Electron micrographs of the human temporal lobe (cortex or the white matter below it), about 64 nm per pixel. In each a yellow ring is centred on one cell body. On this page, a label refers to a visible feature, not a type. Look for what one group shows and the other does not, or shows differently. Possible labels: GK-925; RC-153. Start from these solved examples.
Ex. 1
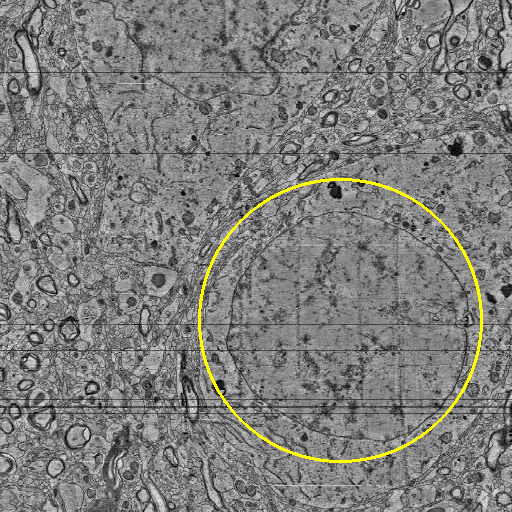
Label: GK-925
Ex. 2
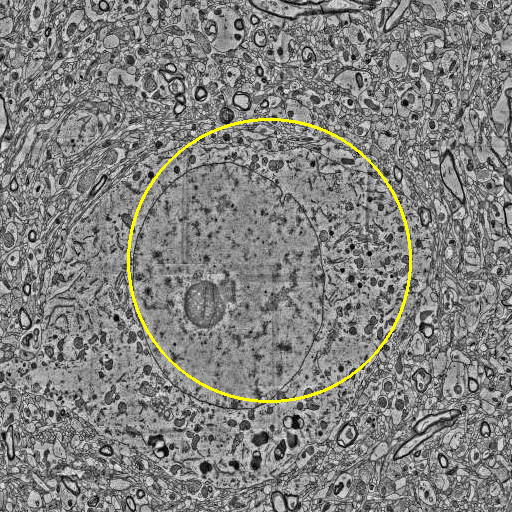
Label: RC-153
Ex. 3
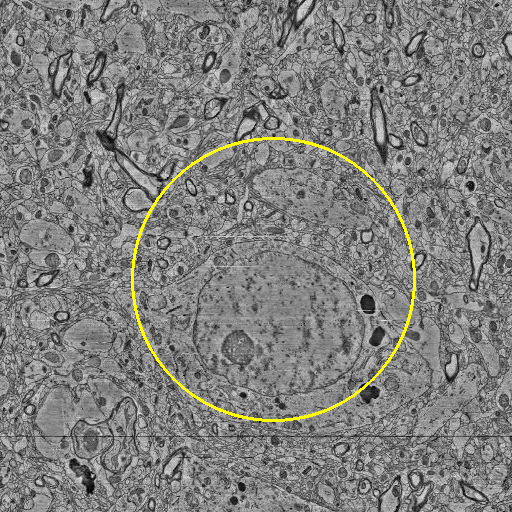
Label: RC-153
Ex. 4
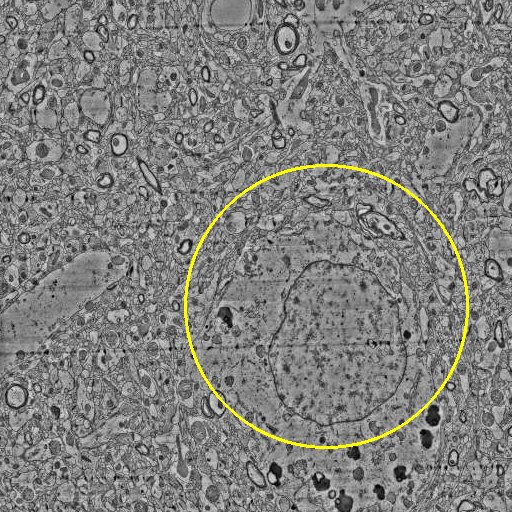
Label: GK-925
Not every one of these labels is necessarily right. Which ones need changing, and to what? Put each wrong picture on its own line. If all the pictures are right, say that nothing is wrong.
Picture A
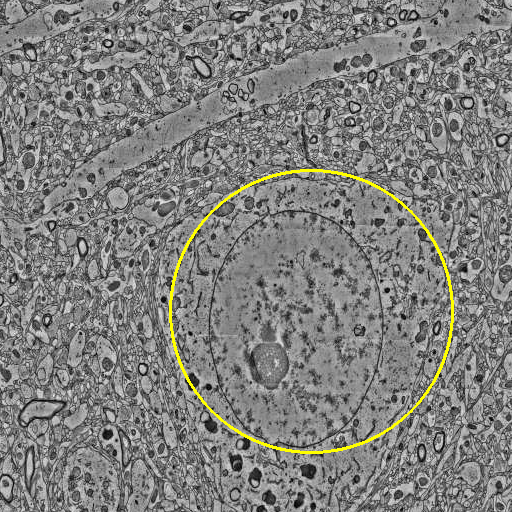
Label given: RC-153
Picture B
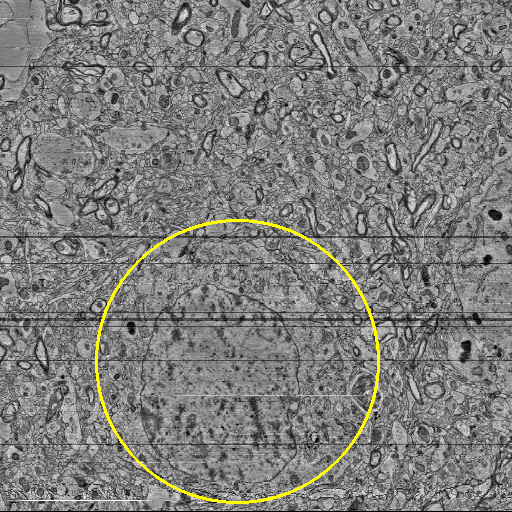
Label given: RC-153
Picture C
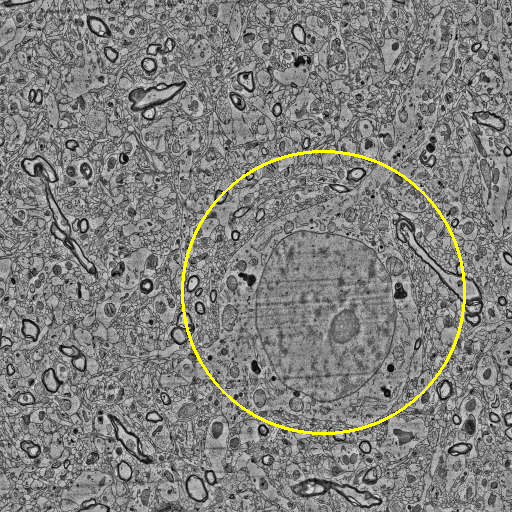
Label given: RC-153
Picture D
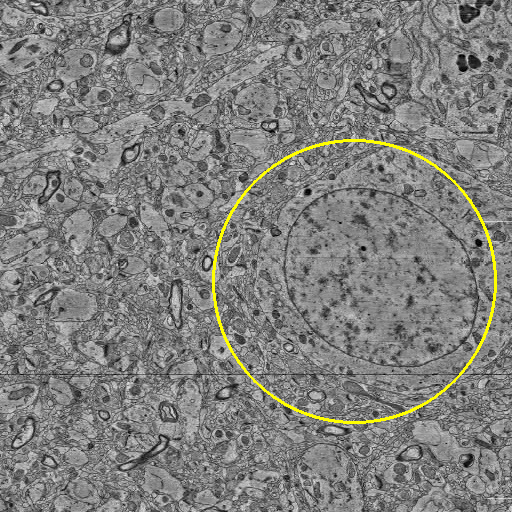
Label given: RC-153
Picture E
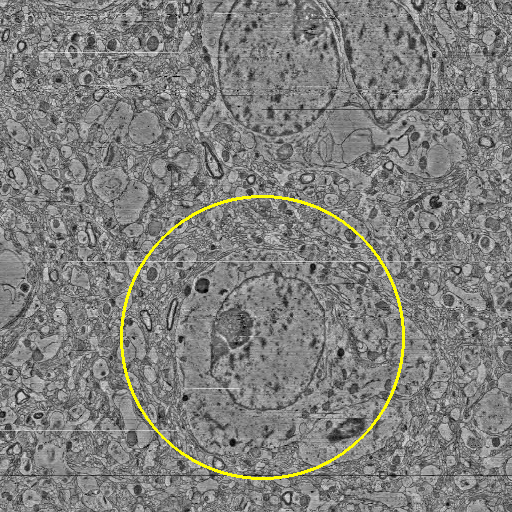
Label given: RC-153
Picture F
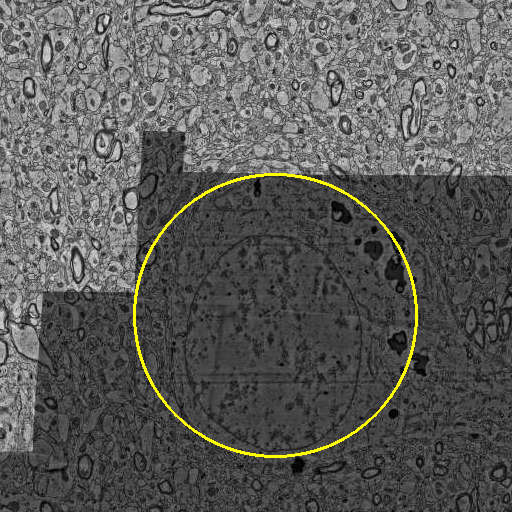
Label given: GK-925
B: change RC-153 to GK-925
D: change RC-153 to GK-925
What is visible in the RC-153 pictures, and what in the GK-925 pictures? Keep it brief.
Seen in RC-153: nucleolus seen; seen in GK-925: no nucleolus seen.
